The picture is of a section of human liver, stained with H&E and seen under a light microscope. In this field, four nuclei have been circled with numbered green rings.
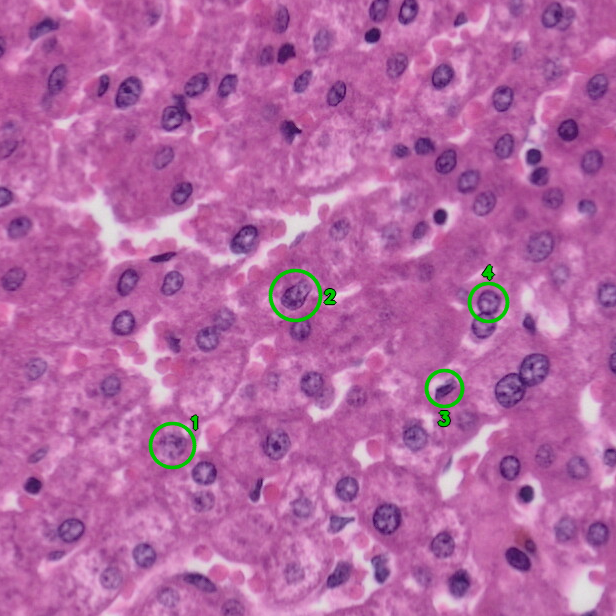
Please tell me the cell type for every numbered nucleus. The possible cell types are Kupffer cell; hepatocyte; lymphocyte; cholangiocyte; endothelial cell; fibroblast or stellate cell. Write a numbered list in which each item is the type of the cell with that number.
1. hepatocyte
2. hepatocyte
3. endothelial cell
4. hepatocyte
